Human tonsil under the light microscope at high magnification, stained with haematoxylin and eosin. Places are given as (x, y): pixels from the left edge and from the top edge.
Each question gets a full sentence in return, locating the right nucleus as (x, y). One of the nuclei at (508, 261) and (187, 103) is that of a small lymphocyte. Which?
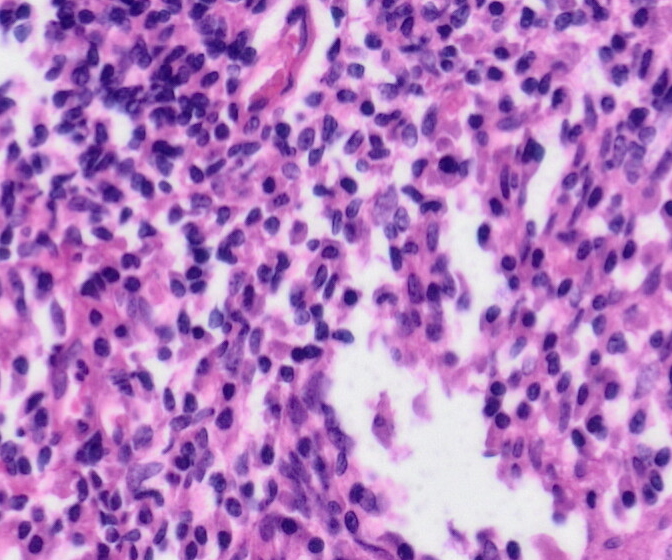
The nucleus contained in a small lymphocyte is the one at (187, 103).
